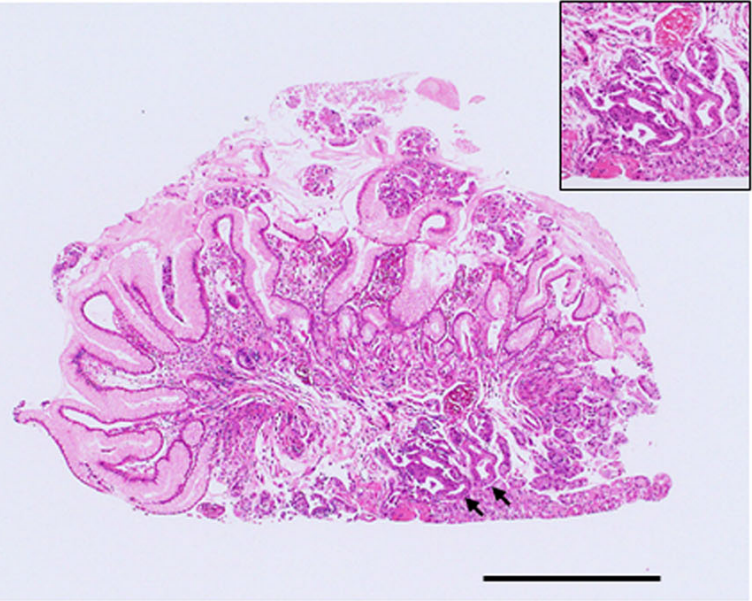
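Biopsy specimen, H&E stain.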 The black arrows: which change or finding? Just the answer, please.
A: Atypical glands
